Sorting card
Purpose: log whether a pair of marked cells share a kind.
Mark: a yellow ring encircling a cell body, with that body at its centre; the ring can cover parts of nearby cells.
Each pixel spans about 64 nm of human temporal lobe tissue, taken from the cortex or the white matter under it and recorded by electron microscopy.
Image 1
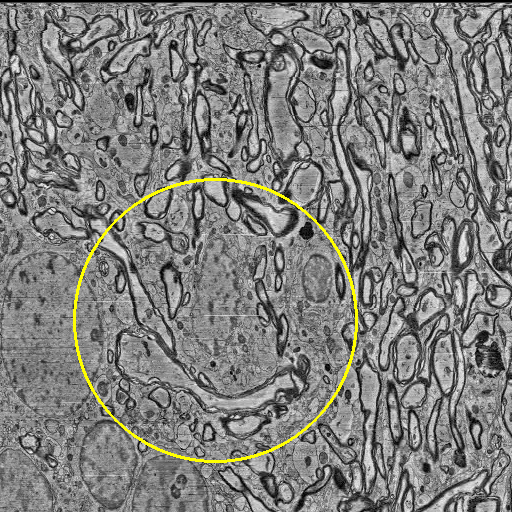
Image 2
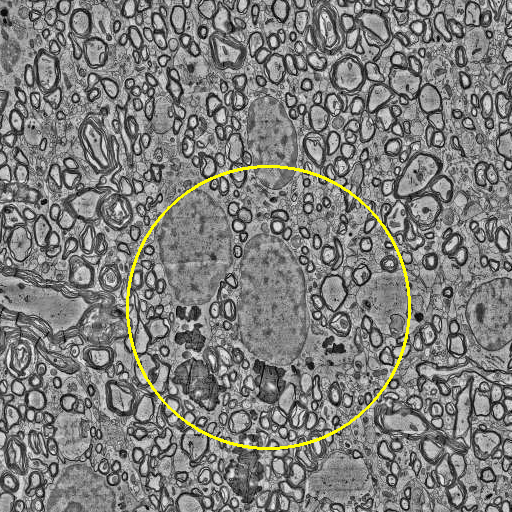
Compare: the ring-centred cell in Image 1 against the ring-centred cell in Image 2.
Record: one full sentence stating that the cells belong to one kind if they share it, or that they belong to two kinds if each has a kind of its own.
Across Images 1 and 2, the two ring-centred cells belong to two kinds.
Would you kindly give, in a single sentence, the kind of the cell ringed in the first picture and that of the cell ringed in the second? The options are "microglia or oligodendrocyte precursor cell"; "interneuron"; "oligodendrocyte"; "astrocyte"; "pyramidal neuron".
The second cell is an oligodendrocyte, and the first cell is an astrocyte.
